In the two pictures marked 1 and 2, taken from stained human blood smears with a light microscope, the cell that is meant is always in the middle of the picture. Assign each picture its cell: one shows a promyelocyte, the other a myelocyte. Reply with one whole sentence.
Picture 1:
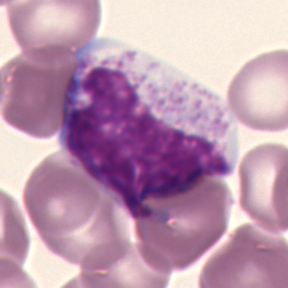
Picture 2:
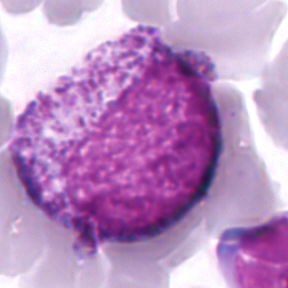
The cell in picture 1 is a myelocyte, and the one in picture 2 is a promyelocyte.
